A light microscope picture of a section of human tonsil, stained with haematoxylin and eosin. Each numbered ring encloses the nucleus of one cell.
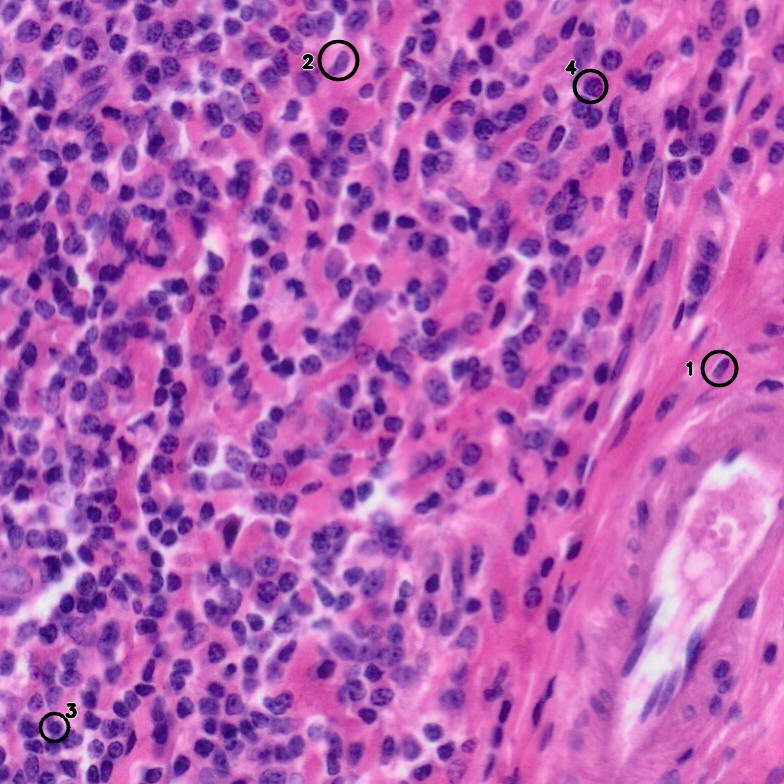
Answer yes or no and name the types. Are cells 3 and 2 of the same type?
No, just to clarify, cell 3 is a small lymphocyte and cell 2 is a mast cell.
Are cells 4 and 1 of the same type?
No, the right answer is a plasma cell for cell 4 and a mast cell for cell 1.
